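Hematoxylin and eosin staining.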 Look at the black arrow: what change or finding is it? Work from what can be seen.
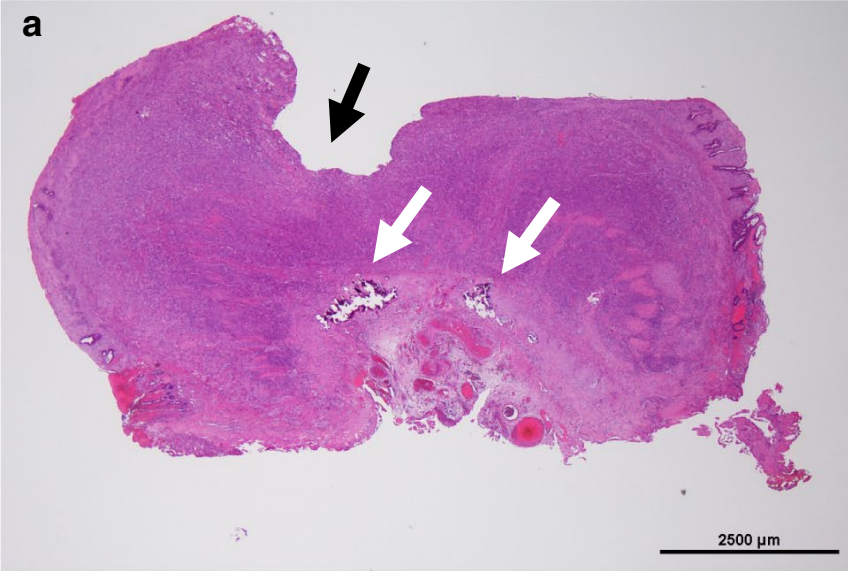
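Ulcerated. The black arrow points to a notch-like defect in the tissue surface. The surface at the arrow lacks a lining layer and the tissue is broken away.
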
